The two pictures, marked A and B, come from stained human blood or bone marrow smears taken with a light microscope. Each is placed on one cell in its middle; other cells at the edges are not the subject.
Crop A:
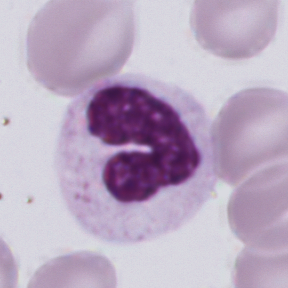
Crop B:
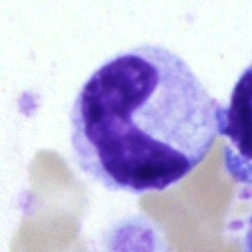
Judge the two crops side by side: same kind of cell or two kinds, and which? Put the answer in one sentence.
Yes, the cells found in the middle of both crops are band neutrophils.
